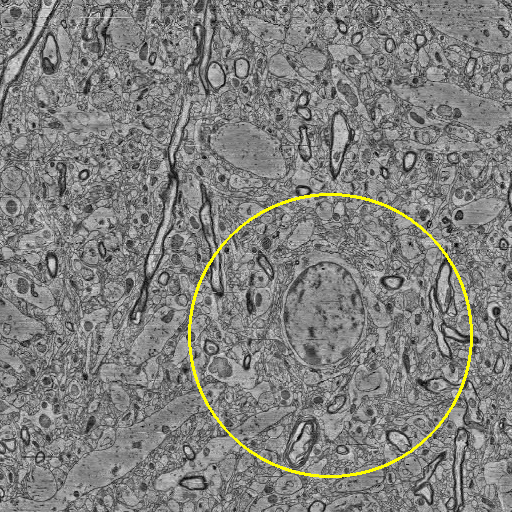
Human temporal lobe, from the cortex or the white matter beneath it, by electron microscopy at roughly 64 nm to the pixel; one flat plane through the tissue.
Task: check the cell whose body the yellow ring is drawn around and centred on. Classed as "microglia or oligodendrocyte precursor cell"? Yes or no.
Yes, it is classed that way.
